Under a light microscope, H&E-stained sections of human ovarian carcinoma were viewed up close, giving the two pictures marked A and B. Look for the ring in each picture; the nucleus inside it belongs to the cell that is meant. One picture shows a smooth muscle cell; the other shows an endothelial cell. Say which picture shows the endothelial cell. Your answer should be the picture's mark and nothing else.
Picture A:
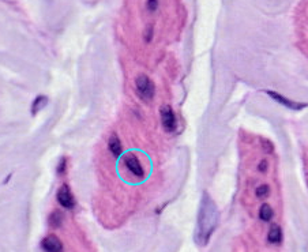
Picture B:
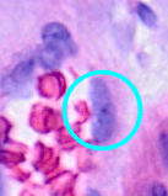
B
